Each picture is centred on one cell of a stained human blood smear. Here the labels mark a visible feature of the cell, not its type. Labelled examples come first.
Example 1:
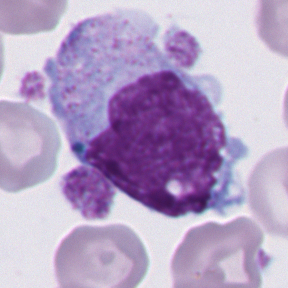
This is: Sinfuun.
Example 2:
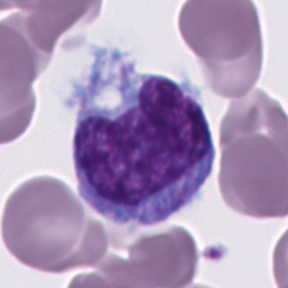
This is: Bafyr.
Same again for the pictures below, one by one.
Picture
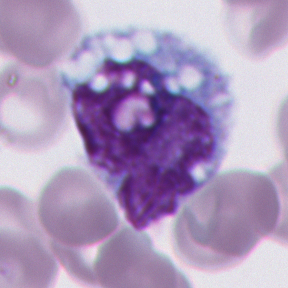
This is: Bafyr.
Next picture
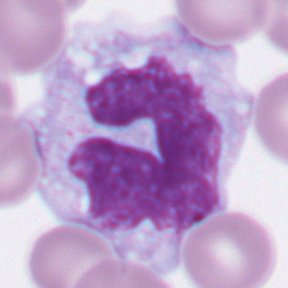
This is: Sinfuun.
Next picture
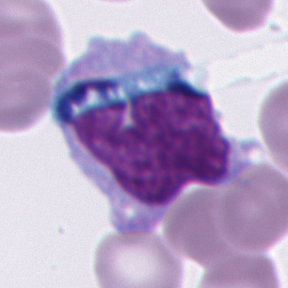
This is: Bafyr.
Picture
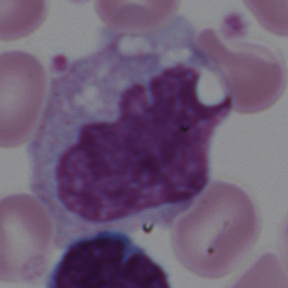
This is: Sinfuun.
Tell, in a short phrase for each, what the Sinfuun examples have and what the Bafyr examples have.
Sinfuun: abundant cytoplasm; Bafyr: scant cytoplasm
